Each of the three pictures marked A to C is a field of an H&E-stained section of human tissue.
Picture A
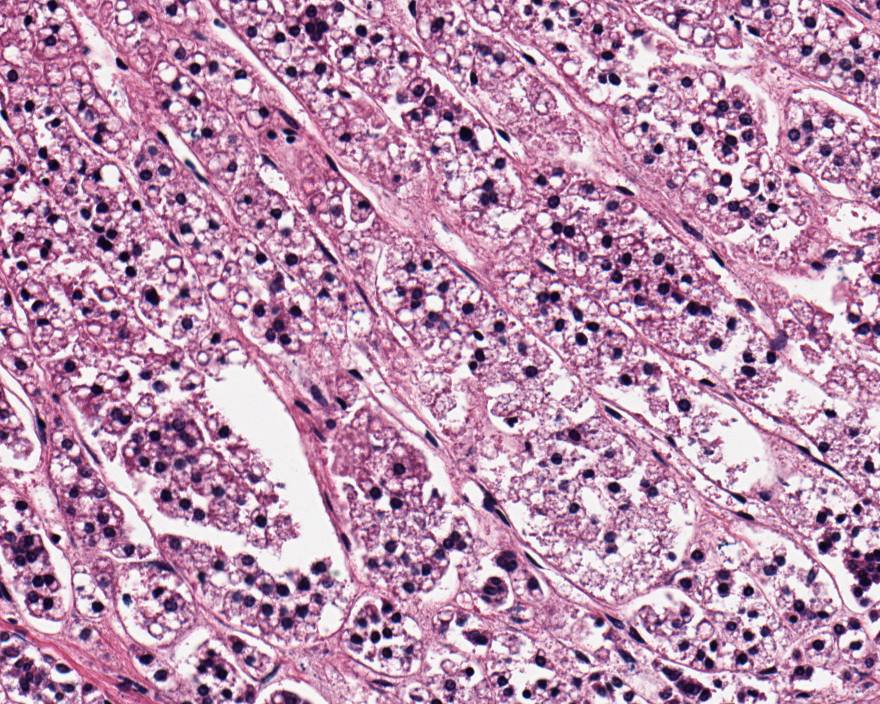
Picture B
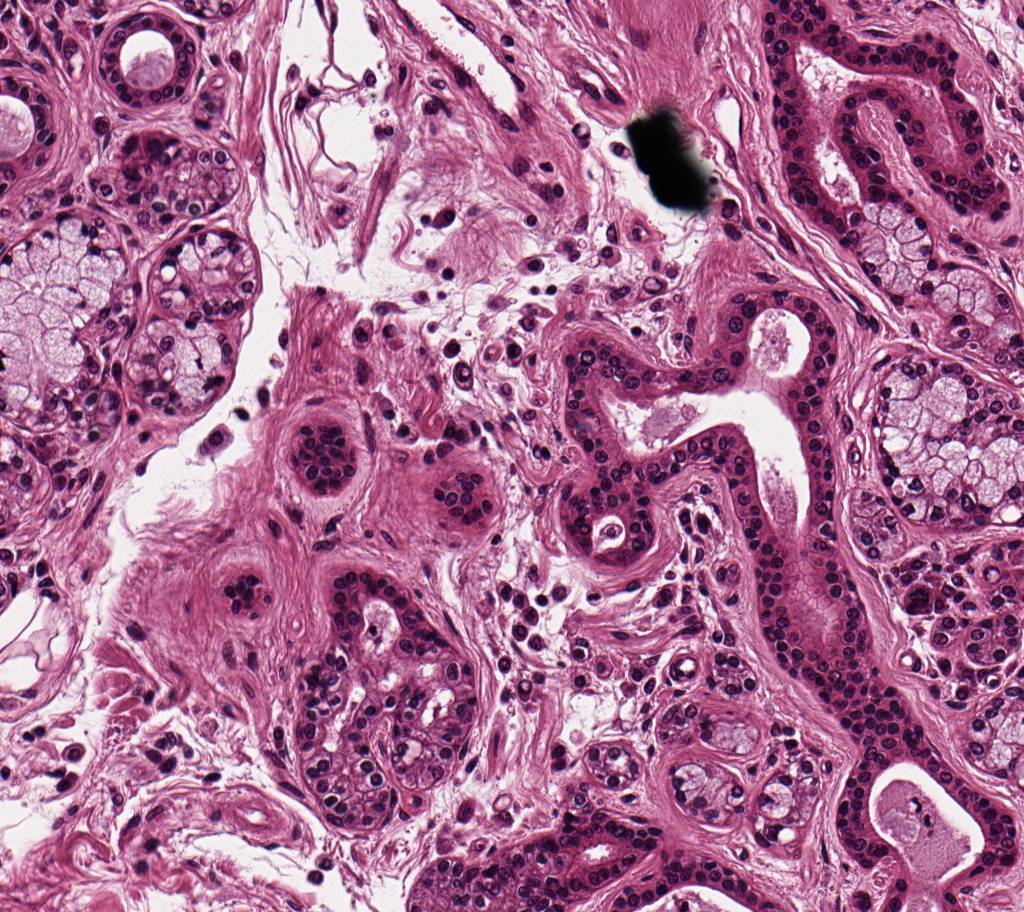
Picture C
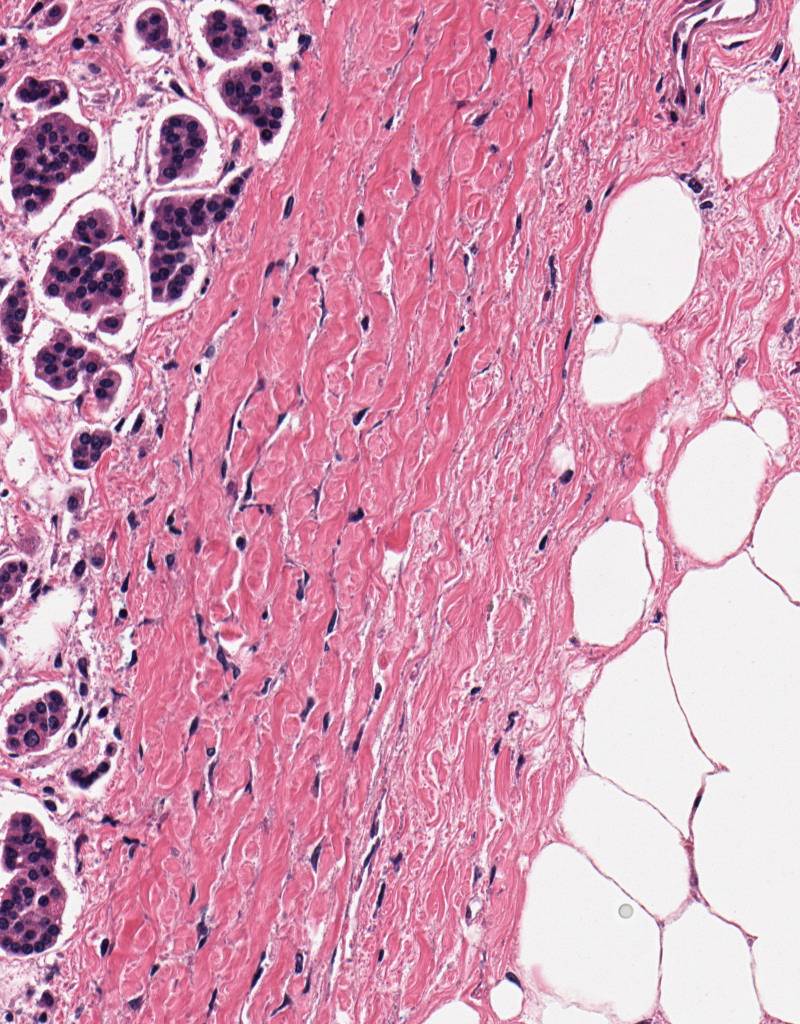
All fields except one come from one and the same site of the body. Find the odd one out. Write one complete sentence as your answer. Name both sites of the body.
All pictures except B come from the adrenal gland; picture B comes from a minor salivary gland.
